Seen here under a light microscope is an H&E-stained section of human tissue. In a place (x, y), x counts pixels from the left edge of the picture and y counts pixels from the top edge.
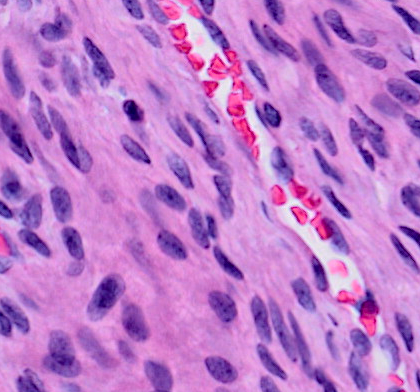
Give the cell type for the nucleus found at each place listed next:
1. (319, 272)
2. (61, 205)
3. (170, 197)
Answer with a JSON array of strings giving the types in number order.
["endothelial cell", "fibroblast", "fibroblast"]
